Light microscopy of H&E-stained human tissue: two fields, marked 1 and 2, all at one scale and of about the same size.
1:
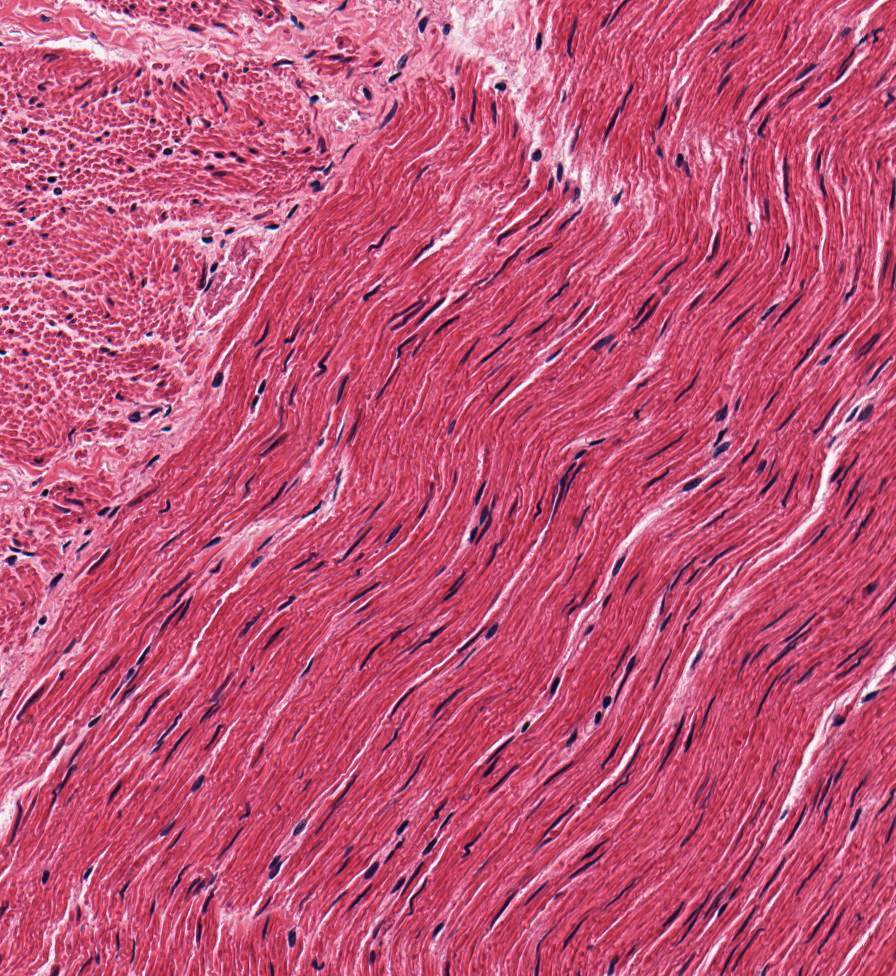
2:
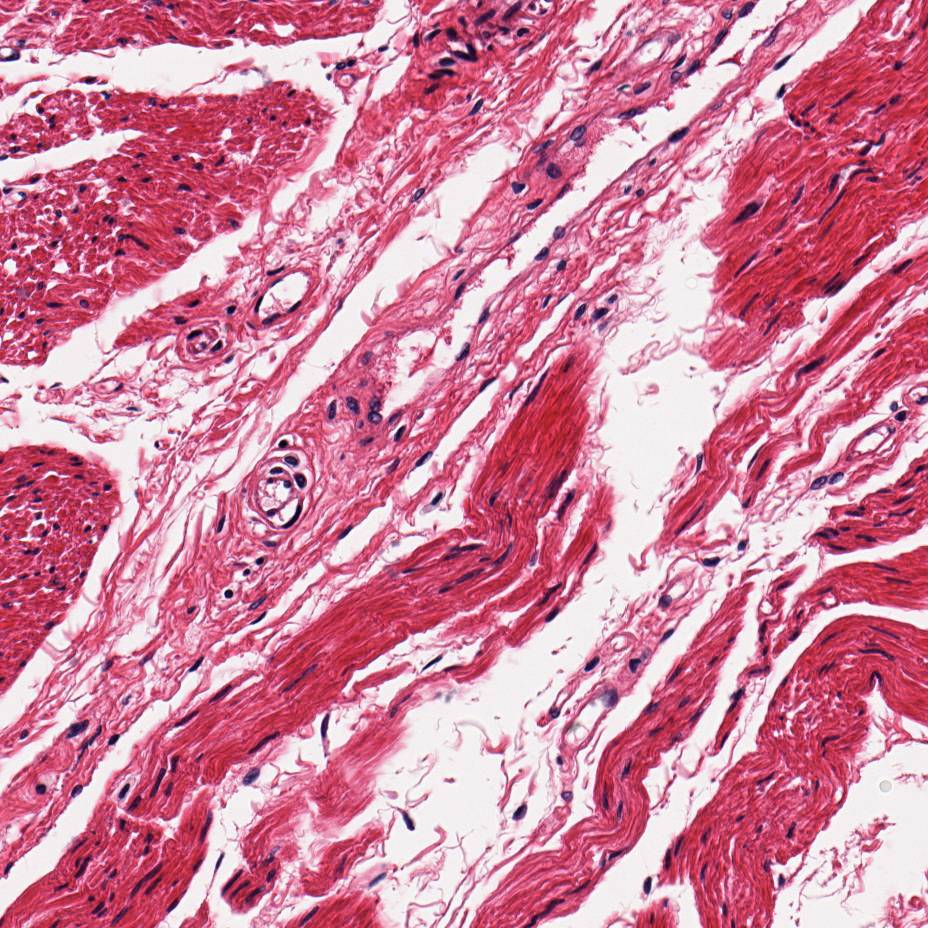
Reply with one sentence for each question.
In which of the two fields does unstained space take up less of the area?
Unstained space takes up less of field 1 than of field 2.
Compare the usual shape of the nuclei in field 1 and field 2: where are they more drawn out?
It is field 1 whose nuclei are the more elongated.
